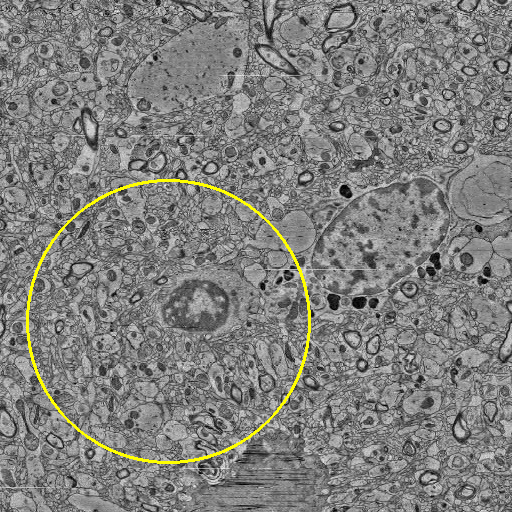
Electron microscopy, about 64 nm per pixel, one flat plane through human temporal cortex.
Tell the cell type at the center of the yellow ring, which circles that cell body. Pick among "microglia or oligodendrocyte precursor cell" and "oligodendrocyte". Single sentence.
The ring is centered on the body of an oligodendrocyte.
